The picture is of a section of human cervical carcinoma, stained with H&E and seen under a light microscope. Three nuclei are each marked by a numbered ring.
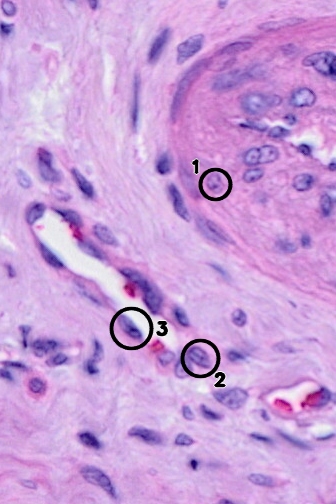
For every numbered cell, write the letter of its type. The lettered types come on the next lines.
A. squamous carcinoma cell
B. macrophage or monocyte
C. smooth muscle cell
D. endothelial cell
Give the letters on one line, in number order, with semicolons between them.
C; D; D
